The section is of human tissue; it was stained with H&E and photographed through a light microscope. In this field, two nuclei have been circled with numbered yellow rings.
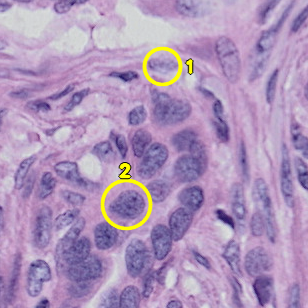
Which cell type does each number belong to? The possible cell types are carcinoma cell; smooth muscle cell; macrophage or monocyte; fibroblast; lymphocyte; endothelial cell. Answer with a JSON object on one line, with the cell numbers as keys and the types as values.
{"1": "fibroblast", "2": "carcinoma cell"}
